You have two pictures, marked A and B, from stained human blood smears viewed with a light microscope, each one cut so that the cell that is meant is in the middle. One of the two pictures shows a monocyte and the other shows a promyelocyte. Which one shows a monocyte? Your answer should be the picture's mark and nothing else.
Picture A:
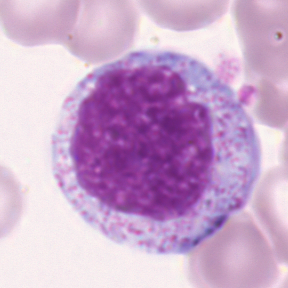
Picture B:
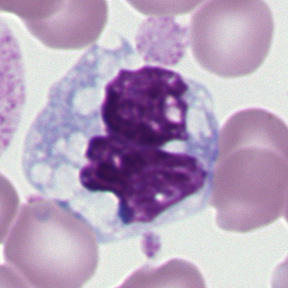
B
